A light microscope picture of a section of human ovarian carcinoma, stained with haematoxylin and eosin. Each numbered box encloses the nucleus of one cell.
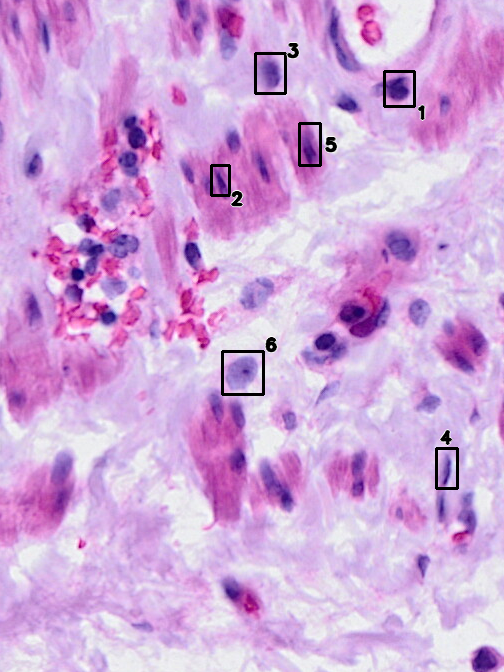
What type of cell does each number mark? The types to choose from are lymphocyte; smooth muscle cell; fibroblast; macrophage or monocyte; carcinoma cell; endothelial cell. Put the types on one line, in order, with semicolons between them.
lymphocyte; smooth muscle cell; fibroblast; fibroblast; smooth muscle cell; fibroblast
